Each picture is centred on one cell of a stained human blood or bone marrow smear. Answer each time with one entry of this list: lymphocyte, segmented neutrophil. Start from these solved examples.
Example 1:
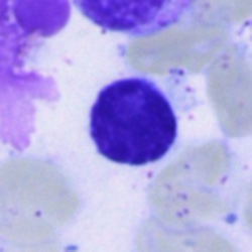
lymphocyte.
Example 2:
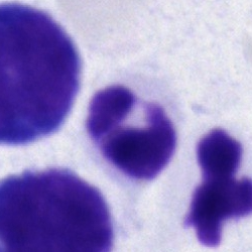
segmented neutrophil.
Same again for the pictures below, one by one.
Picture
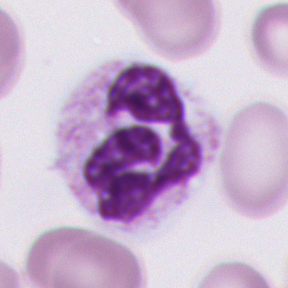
segmented neutrophil.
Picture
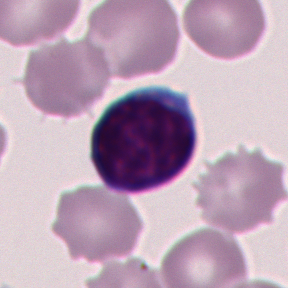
lymphocyte.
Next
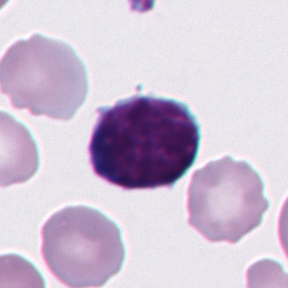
lymphocyte.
